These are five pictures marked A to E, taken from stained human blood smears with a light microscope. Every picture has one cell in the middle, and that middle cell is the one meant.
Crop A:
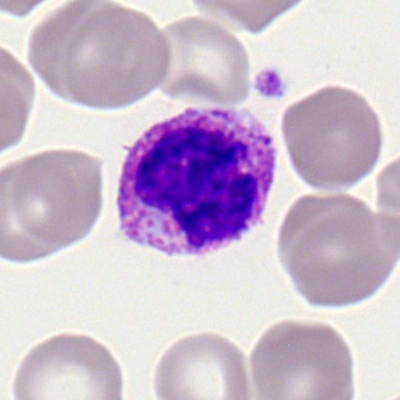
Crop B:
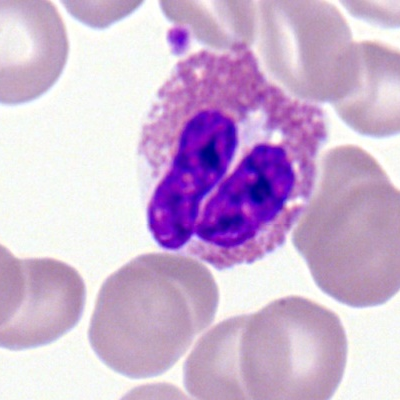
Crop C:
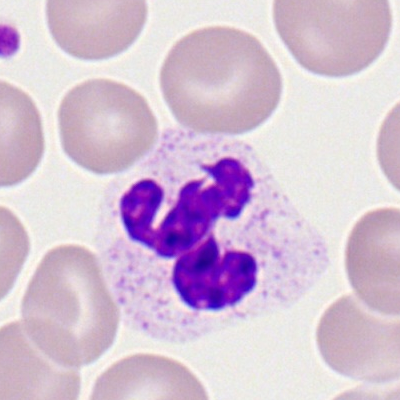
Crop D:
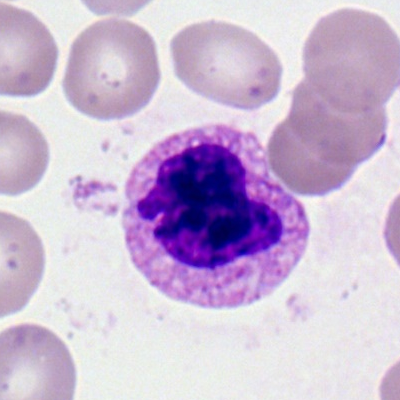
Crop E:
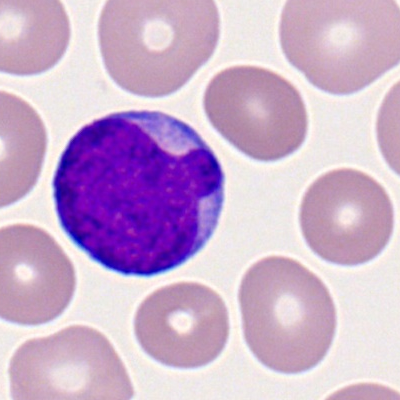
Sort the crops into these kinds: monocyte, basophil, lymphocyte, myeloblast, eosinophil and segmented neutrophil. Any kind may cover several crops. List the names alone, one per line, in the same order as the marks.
basophil
eosinophil
segmented neutrophil
basophil
myeloblast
